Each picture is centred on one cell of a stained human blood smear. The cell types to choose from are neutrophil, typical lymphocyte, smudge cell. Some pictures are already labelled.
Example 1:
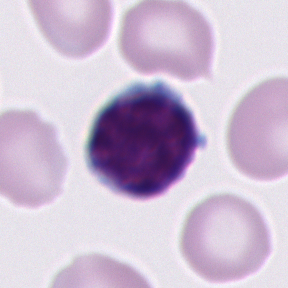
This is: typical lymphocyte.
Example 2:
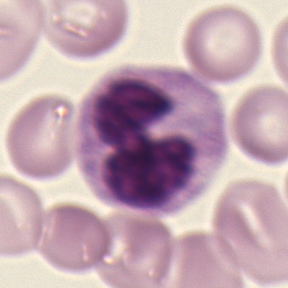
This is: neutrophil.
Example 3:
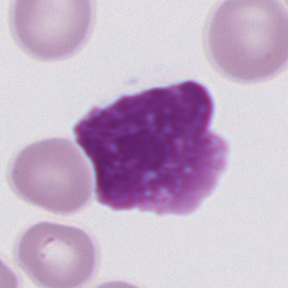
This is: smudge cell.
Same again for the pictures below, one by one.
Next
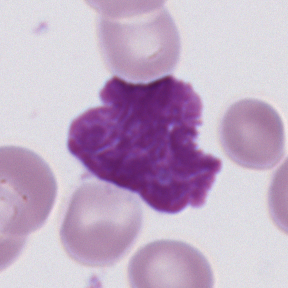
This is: smudge cell.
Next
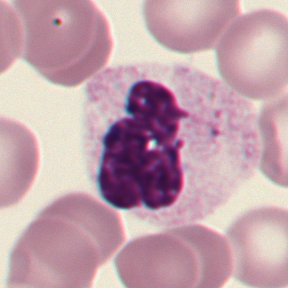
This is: neutrophil.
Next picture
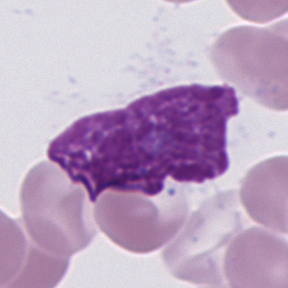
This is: smudge cell.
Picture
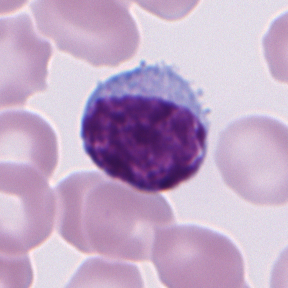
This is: typical lymphocyte.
